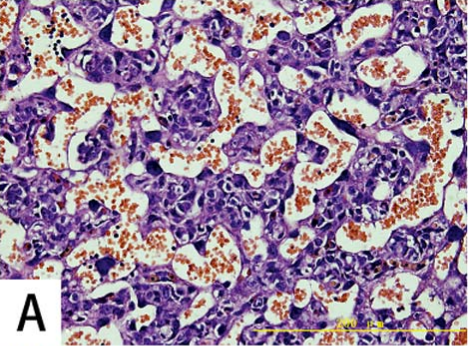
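This is the labyrinth of the placenta, made of cords of trophoblast cells that wind between irregular, branching blood sinusoids. The sinusoids appear as pale channels packed with small, round, orange-red red blood cells that have no nuclei. The cords between them are made of cells with single large, purple nuclei and pinkish-purple cytoplasm, and these cells line the channels.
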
